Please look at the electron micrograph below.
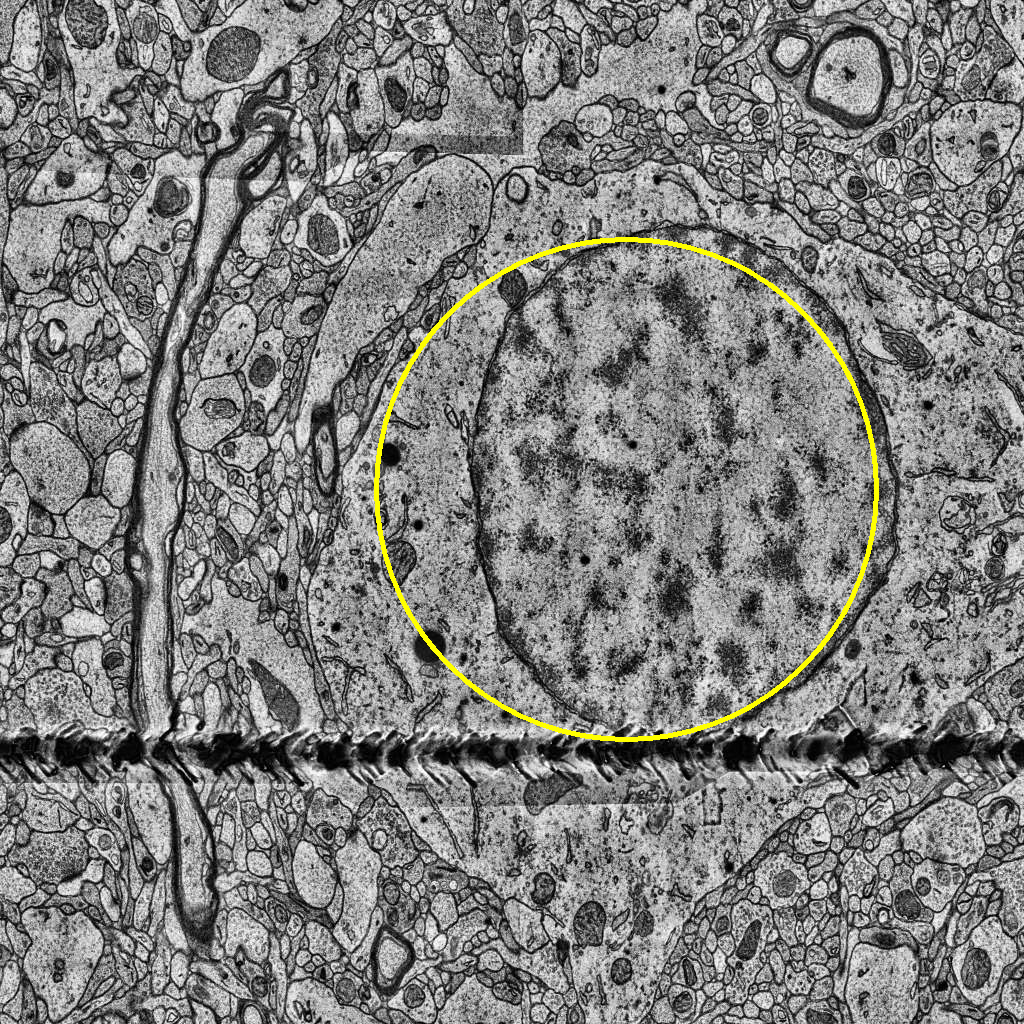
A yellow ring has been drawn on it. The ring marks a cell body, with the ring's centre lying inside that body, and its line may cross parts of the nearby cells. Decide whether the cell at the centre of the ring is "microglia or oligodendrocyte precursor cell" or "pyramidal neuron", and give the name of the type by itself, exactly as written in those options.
pyramidal neuron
